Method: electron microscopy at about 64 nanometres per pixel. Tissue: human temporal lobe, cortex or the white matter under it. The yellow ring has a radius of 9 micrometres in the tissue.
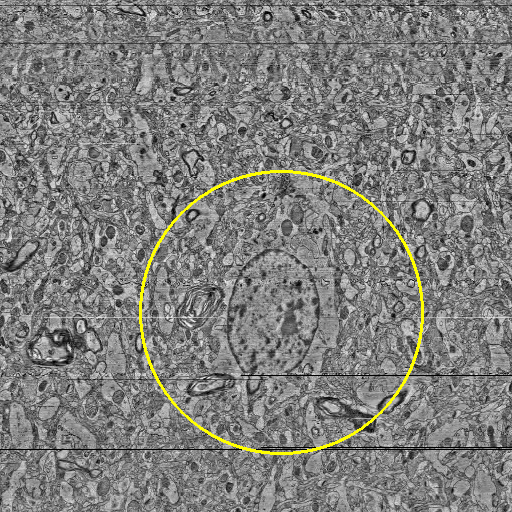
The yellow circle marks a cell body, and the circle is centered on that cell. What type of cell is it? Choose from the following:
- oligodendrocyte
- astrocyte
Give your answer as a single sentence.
This cell body belongs to an astrocyte.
